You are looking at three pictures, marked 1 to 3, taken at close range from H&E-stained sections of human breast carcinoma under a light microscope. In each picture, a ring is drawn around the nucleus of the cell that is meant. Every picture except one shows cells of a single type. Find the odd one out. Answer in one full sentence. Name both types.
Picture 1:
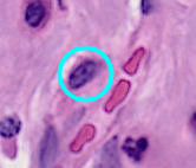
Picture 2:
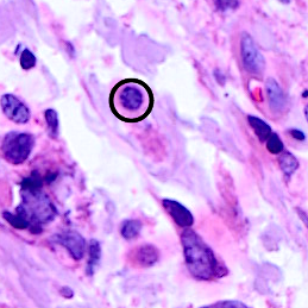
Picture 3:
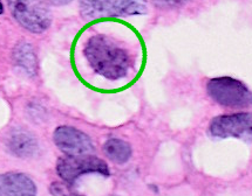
All pictures except 3 show mast cells; picture 3 shows a carcinoma cell.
